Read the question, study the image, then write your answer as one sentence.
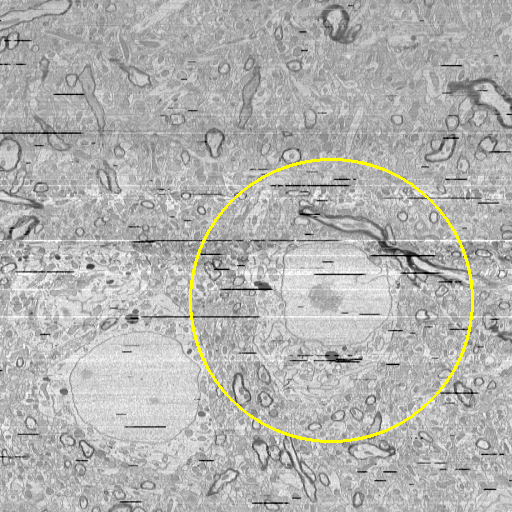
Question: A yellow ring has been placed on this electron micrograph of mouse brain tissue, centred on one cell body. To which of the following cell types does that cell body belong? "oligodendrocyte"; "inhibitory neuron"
That cell body belongs to an inhibitory neuron.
